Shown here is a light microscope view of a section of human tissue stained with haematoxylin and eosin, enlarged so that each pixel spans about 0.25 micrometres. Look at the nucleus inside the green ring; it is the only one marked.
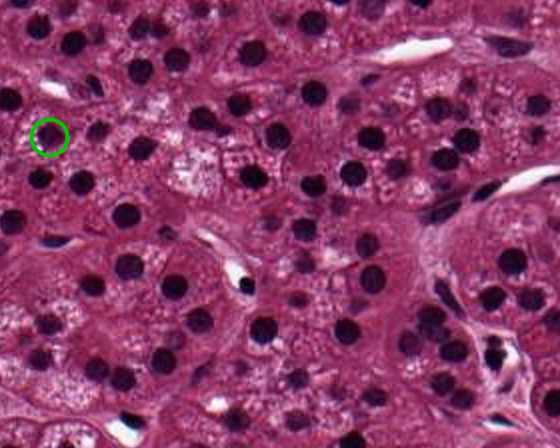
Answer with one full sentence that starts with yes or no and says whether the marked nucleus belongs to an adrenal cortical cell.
Yes, the marked nucleus is contained in an adrenal cortical cell.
